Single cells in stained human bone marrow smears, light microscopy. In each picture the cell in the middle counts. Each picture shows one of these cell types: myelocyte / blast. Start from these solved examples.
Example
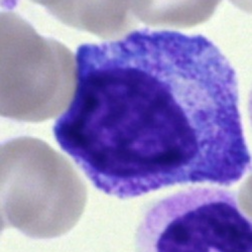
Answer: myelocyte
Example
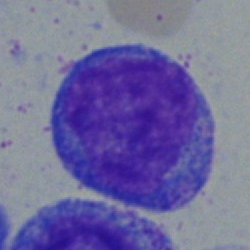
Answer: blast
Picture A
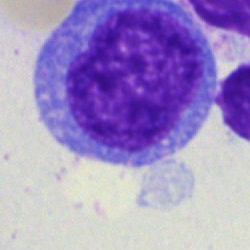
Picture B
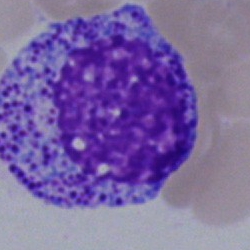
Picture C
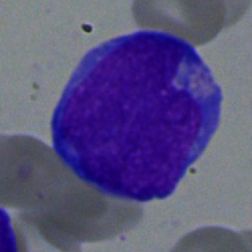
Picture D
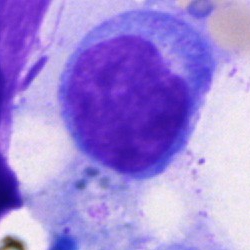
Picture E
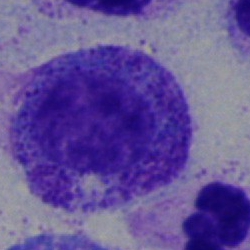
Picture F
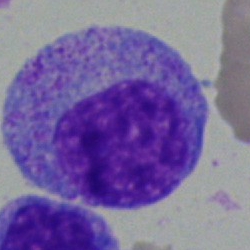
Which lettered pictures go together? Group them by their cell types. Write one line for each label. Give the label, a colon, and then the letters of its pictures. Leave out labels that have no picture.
myelocyte: B, E, F
blast: A, C, D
